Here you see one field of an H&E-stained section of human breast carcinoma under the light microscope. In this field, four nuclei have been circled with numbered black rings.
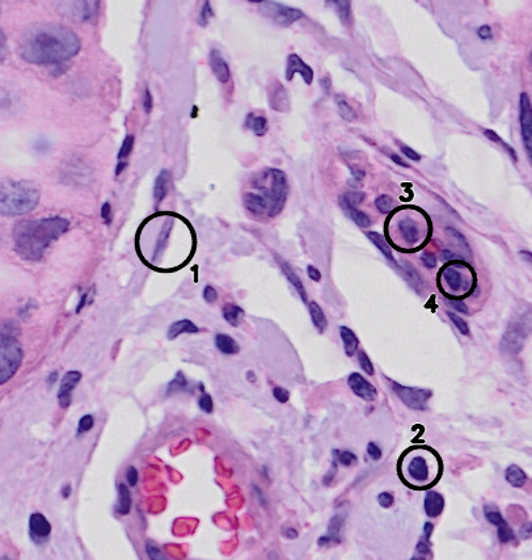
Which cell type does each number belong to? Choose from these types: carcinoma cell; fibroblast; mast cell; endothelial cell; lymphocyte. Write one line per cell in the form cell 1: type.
cell 1: fibroblast
cell 2: lymphocyte
cell 3: endothelial cell
cell 4: endothelial cell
